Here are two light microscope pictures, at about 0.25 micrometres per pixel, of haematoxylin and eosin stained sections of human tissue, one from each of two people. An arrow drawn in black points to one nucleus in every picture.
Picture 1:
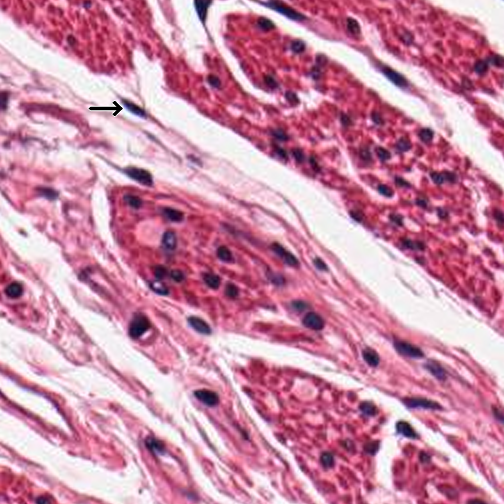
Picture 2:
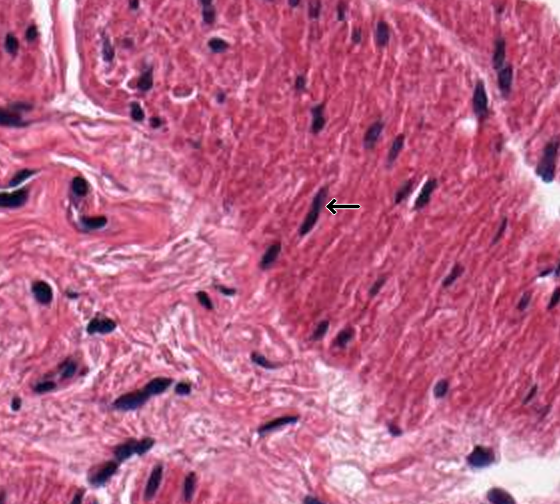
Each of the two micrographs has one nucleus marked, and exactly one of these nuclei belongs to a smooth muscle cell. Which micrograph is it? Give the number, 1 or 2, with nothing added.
2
